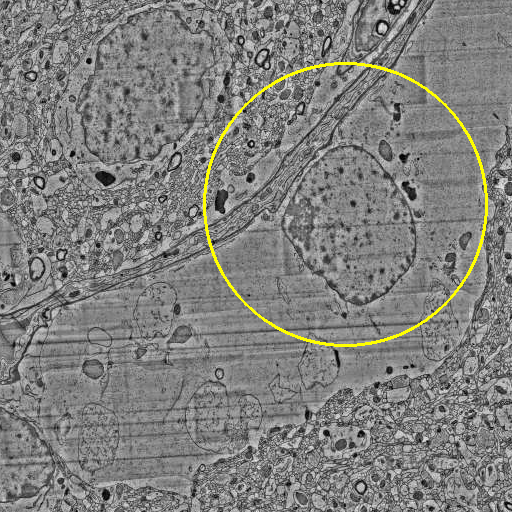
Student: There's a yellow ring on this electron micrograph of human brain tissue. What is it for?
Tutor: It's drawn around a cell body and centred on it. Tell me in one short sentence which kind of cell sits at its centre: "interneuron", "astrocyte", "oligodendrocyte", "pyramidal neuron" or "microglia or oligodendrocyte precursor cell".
The cell at the centre of the ring is an astrocyte.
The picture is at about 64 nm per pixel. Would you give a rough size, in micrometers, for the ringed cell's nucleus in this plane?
In this plane, approximately 10 by 9 micrometers.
